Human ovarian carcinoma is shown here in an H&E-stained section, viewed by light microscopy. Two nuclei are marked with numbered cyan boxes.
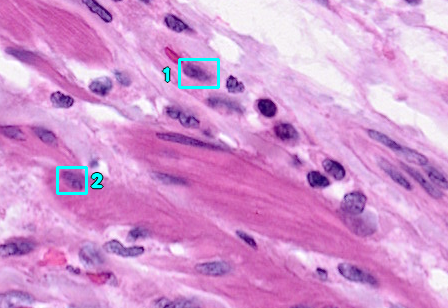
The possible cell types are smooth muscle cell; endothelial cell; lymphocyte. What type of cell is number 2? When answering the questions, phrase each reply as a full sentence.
Marked with the number 2, this cell is a smooth muscle cell.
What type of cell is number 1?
The cell numbered 1 has been identified as an endothelial cell.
